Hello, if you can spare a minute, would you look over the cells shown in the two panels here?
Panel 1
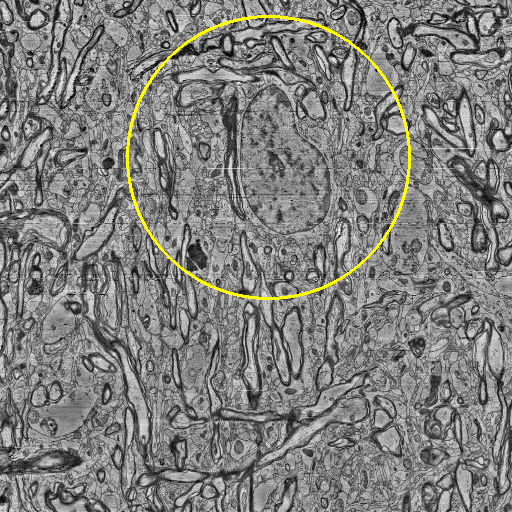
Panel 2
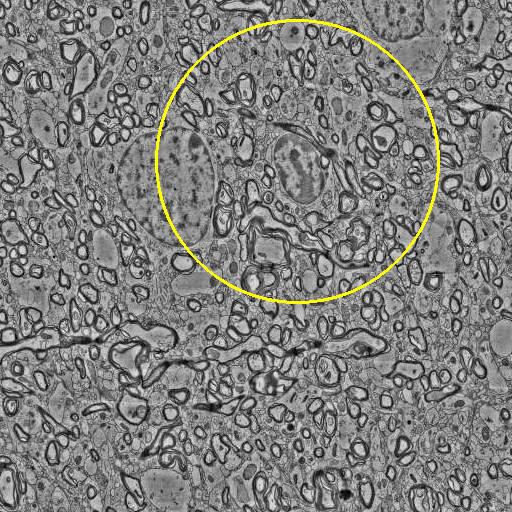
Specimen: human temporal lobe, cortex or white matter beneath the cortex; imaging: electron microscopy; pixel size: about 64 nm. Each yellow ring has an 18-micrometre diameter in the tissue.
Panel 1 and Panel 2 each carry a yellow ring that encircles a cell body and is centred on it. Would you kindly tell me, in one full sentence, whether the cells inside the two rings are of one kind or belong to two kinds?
The cells at the centres of the rings in Panel 1 and Panel 2 are of one kind.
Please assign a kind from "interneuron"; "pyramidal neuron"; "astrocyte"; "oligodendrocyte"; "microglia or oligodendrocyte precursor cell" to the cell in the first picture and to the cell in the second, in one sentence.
Each of the two cells is a microglial cell or oligodendrocyte precursor cell.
